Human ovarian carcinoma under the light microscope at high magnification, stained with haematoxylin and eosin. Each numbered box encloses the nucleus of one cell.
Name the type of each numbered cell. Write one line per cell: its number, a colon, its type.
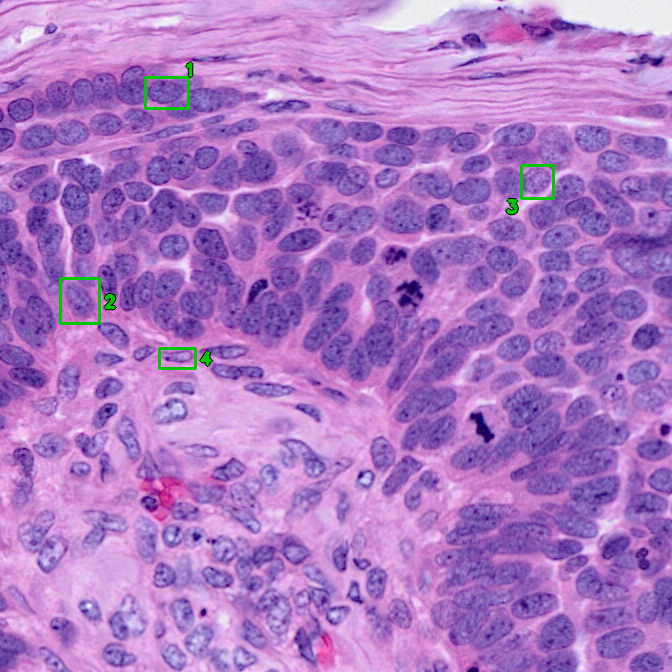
1: carcinoma cell
2: carcinoma cell
3: carcinoma cell
4: fibroblast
